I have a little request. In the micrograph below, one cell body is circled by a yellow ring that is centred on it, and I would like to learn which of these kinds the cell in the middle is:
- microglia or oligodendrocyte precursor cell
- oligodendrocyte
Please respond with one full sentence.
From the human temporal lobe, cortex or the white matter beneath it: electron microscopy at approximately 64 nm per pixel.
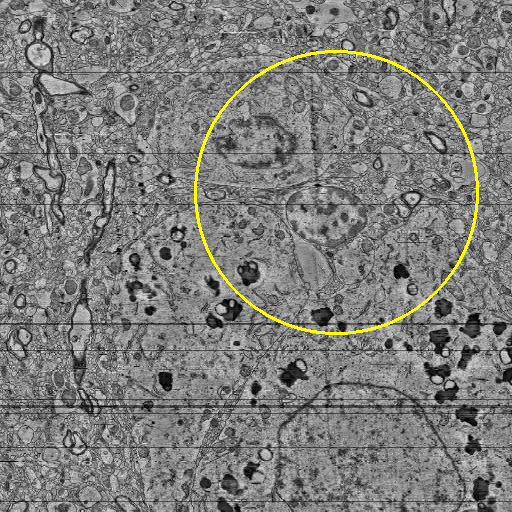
The cell sitting in the middle of the yellow ring in the micrograph is a microglial cell or oligodendrocyte precursor cell.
